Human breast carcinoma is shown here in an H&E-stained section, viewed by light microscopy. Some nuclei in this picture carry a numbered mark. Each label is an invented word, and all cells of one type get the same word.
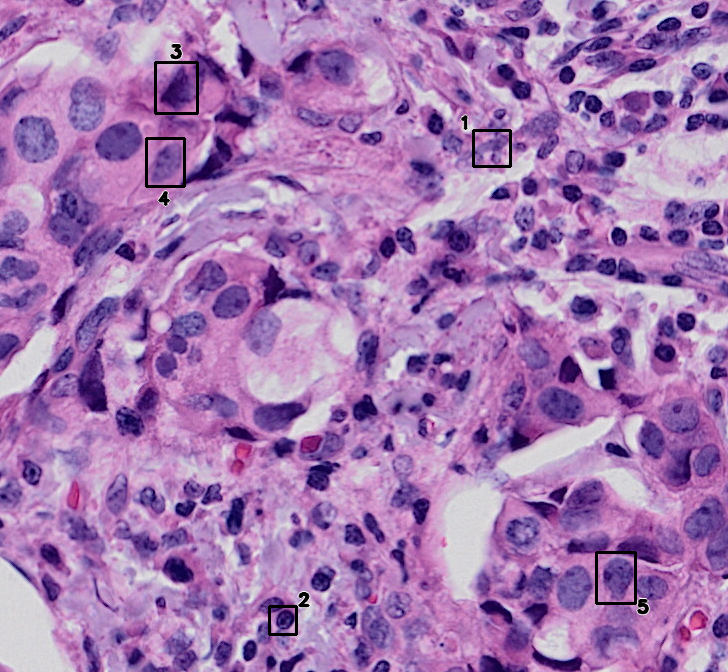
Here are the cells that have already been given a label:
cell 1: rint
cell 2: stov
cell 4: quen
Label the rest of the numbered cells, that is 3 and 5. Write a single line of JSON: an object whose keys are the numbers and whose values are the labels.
{"3": "quen", "5": "quen"}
